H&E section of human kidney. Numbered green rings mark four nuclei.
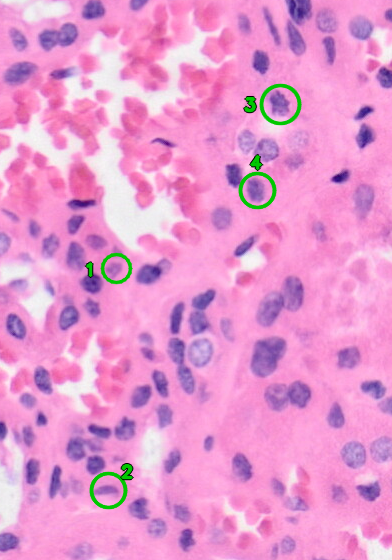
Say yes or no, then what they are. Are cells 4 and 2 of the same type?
No, cell 4 is a loop of Henle or distal tubule cell; cell 2, by contrast, is a collecting duct cell.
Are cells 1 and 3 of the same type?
No, cell 1 is interpreted as a collecting duct cell, and cell 3 is interpreted as a loop of Henle or distal tubule cell.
